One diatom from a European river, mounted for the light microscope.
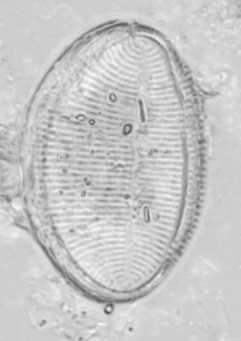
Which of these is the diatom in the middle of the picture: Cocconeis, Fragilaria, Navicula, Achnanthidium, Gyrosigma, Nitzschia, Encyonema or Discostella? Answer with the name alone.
Cocconeis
